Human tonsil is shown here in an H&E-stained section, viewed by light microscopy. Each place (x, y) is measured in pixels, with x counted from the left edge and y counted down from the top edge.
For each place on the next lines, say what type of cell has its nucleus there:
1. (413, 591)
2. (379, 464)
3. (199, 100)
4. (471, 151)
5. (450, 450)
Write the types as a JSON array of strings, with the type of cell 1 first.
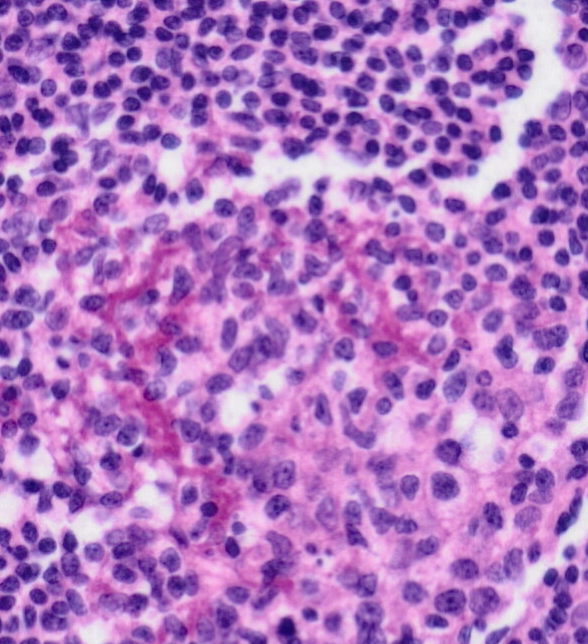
["proliferating B cell", "proliferating B cell", "small lymphocyte", "small lymphocyte", "proliferating B cell"]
